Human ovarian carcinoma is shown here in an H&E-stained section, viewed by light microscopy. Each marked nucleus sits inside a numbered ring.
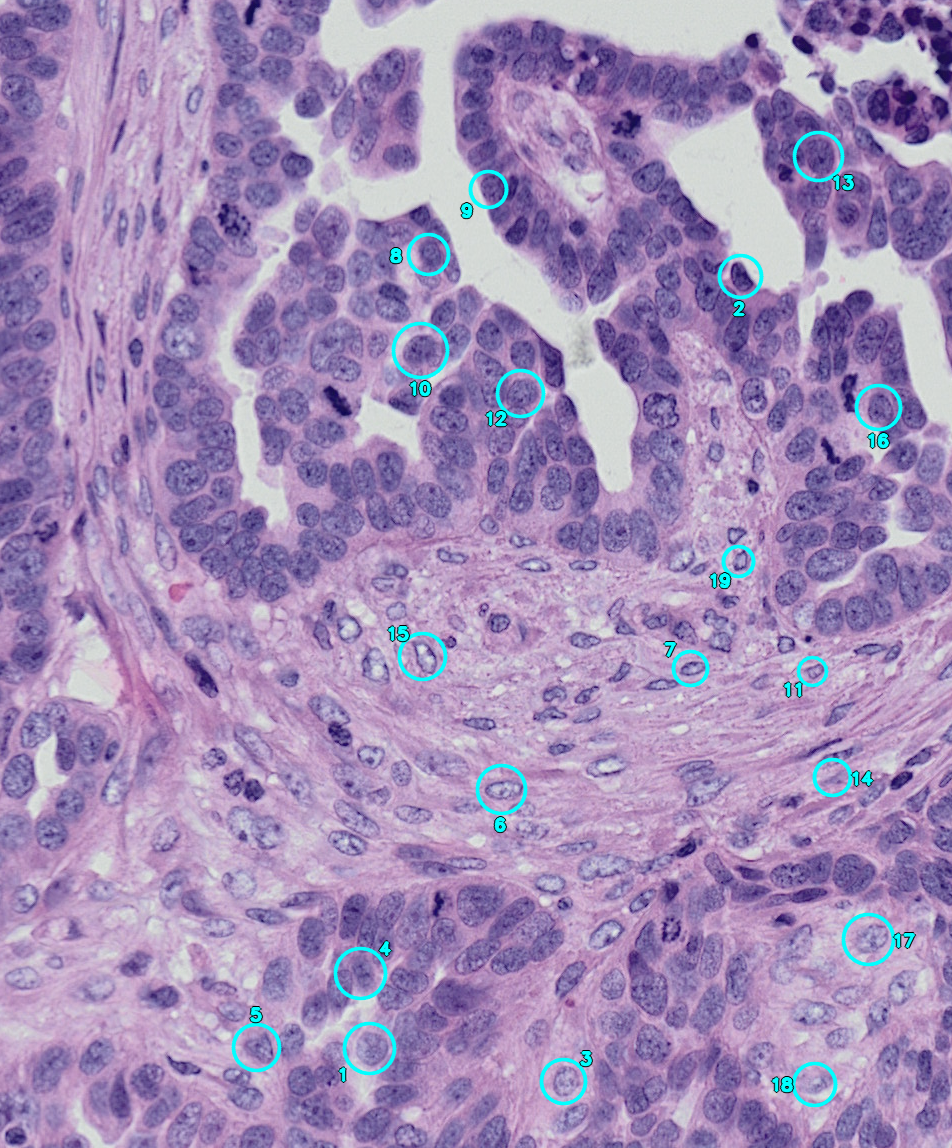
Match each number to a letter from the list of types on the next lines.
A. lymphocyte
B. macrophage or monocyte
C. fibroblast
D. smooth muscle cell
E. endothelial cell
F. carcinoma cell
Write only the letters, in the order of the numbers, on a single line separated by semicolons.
F; F; C; F; C; C; C; F; F; F; C; F; F; C; C; F; C; C; C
